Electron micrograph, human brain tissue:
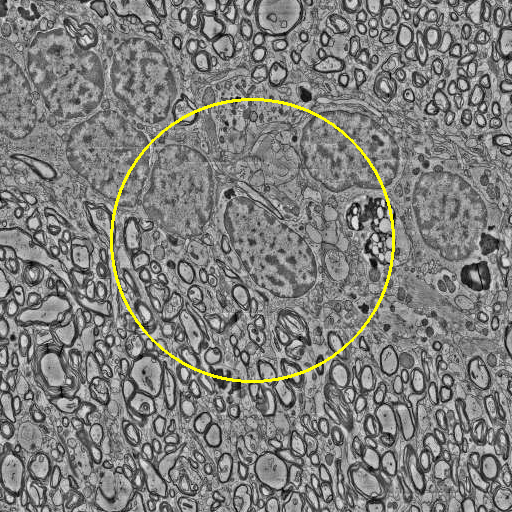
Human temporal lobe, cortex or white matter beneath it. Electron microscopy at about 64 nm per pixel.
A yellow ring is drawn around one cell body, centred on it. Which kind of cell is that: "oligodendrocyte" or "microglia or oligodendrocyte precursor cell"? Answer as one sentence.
It is a microglial cell or oligodendrocyte precursor cell at the centre of the ring.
